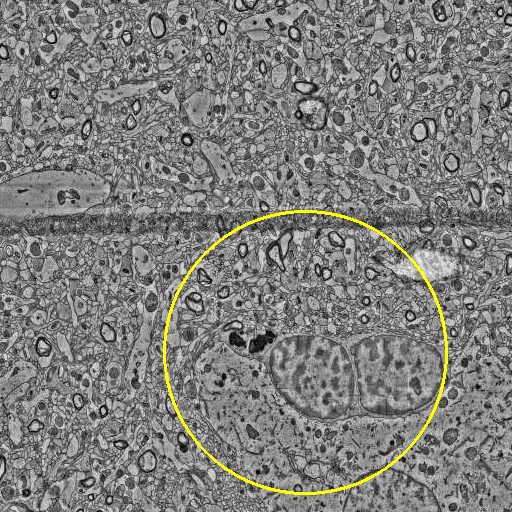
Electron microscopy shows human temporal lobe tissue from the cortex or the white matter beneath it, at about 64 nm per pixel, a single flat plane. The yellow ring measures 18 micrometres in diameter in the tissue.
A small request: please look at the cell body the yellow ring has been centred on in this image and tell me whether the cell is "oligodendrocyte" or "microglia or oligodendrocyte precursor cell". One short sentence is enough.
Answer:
The cell marked by the ring is an oligodendrocyte.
